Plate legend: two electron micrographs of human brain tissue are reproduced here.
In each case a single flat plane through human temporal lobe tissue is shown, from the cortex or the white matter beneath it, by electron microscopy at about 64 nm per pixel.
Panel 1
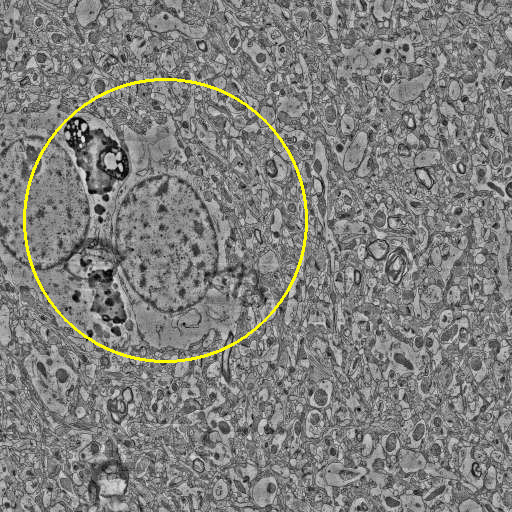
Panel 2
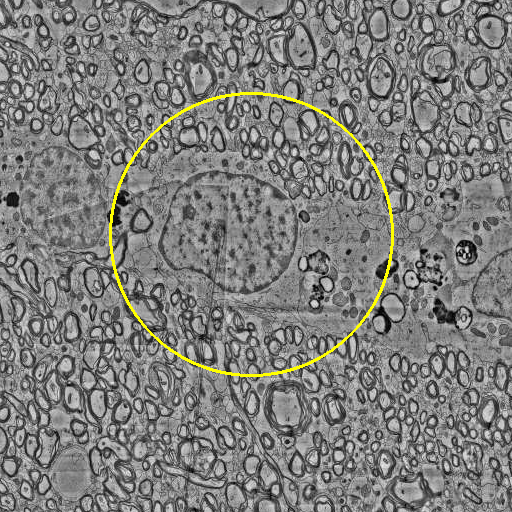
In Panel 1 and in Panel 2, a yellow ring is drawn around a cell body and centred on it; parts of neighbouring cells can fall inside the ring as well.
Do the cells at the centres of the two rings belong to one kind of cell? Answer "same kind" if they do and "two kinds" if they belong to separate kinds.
two kinds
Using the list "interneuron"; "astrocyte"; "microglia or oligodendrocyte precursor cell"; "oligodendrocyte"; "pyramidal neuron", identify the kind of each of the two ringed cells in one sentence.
The first is an astrocyte and the second is a microglial cell or oligodendrocyte precursor cell.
